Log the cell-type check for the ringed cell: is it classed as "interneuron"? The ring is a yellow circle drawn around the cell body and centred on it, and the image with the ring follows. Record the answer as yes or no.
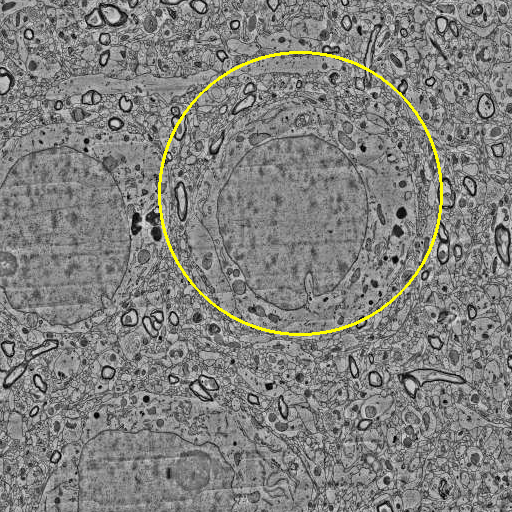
No, it is classed as another type.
